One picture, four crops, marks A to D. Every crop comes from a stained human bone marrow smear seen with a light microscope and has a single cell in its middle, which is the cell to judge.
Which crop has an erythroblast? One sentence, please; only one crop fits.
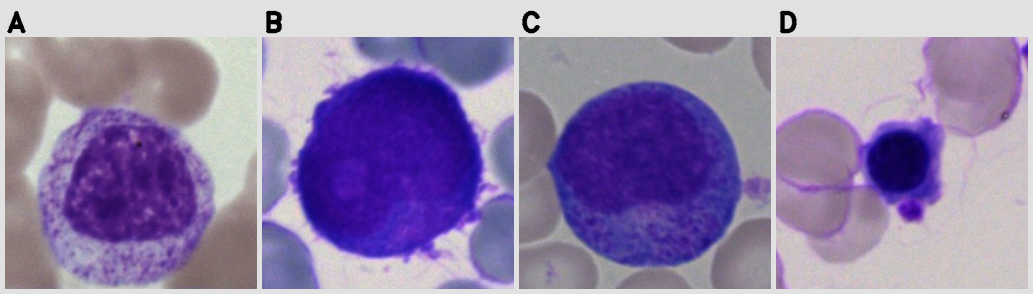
Among all the crops given here, the one with an erythroblast is crop D.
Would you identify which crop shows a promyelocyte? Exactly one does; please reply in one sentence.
Crop C, and no other, shows a promyelocyte.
